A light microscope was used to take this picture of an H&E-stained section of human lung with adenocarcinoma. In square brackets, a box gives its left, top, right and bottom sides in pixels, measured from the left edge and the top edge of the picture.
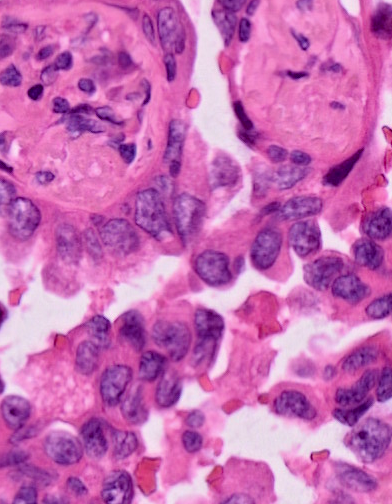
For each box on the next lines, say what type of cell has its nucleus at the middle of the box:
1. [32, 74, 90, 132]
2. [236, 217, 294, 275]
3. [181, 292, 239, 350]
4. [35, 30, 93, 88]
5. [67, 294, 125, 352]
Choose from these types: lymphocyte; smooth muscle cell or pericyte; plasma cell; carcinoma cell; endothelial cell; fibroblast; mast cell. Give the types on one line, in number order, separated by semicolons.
lymphocyte; carcinoma cell; carcinoma cell; lymphocyte; carcinoma cell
